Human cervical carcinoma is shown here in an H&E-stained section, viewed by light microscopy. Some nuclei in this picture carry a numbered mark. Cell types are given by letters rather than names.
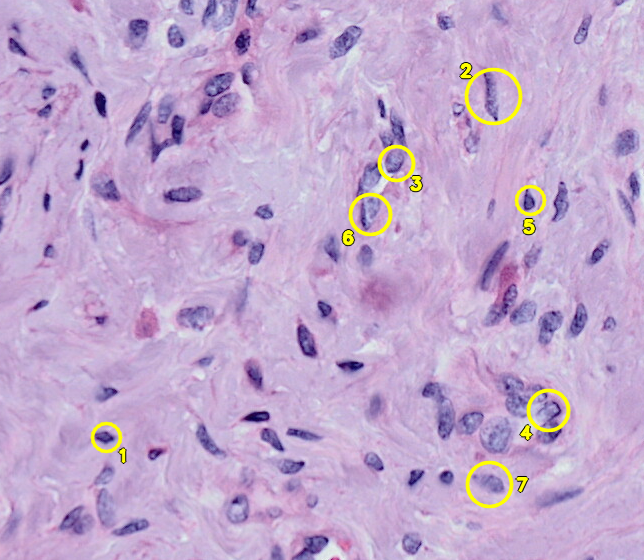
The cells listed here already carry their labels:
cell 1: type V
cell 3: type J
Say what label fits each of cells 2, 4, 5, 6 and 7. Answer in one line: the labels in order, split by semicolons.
type V; type J; type V; type J; type V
